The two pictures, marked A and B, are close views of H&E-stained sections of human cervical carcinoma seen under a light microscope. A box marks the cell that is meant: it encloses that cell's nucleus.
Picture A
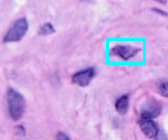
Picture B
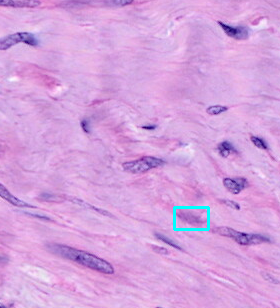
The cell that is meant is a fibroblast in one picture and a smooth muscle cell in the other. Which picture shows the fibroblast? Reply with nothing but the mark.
A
